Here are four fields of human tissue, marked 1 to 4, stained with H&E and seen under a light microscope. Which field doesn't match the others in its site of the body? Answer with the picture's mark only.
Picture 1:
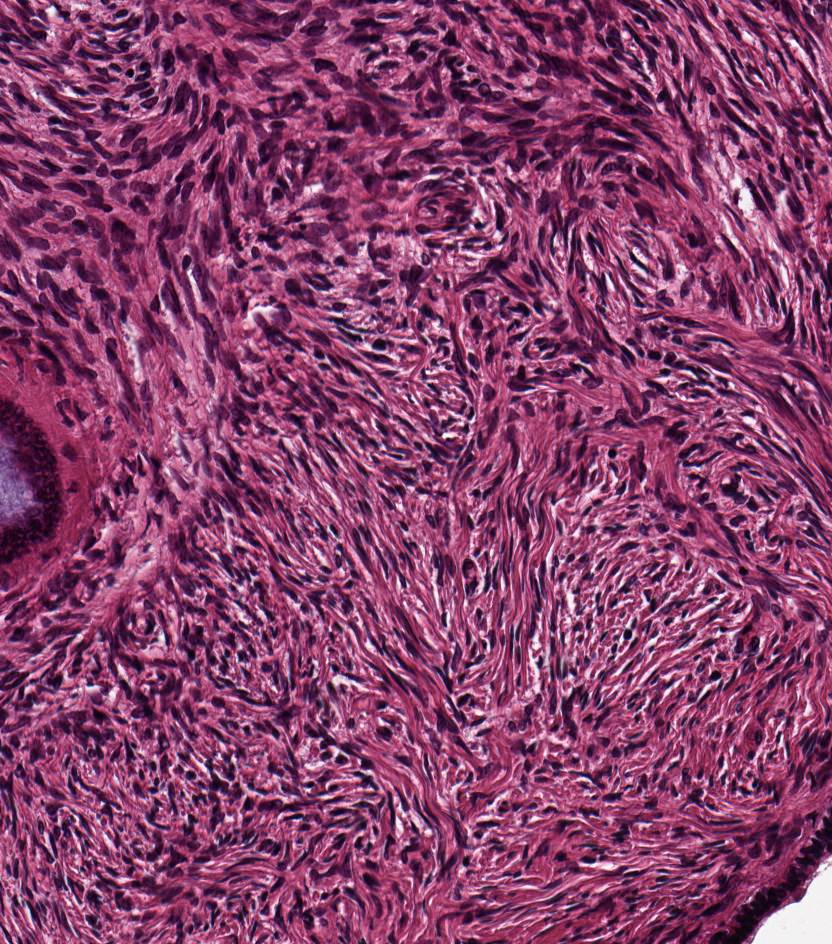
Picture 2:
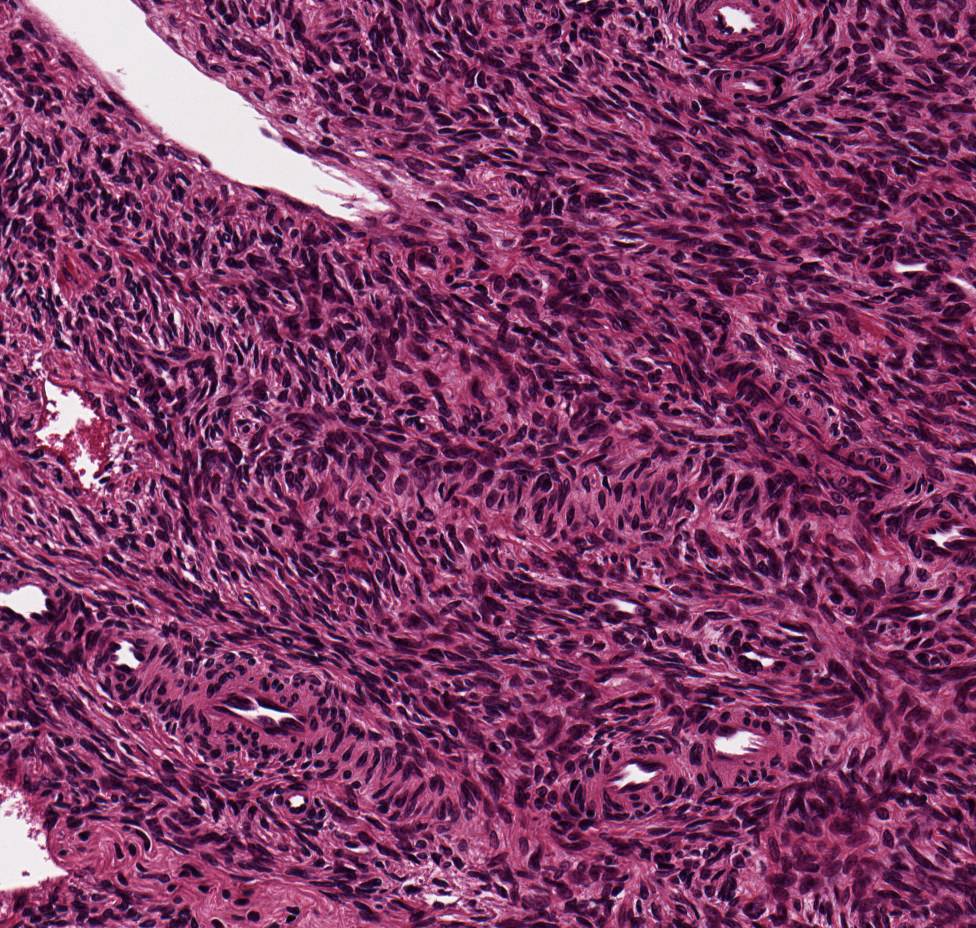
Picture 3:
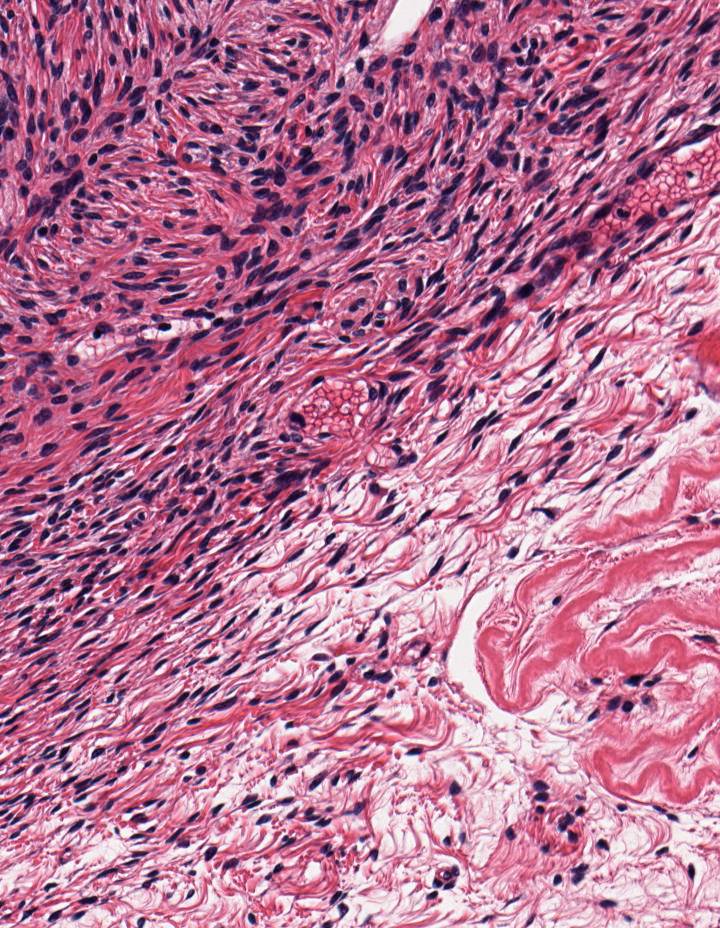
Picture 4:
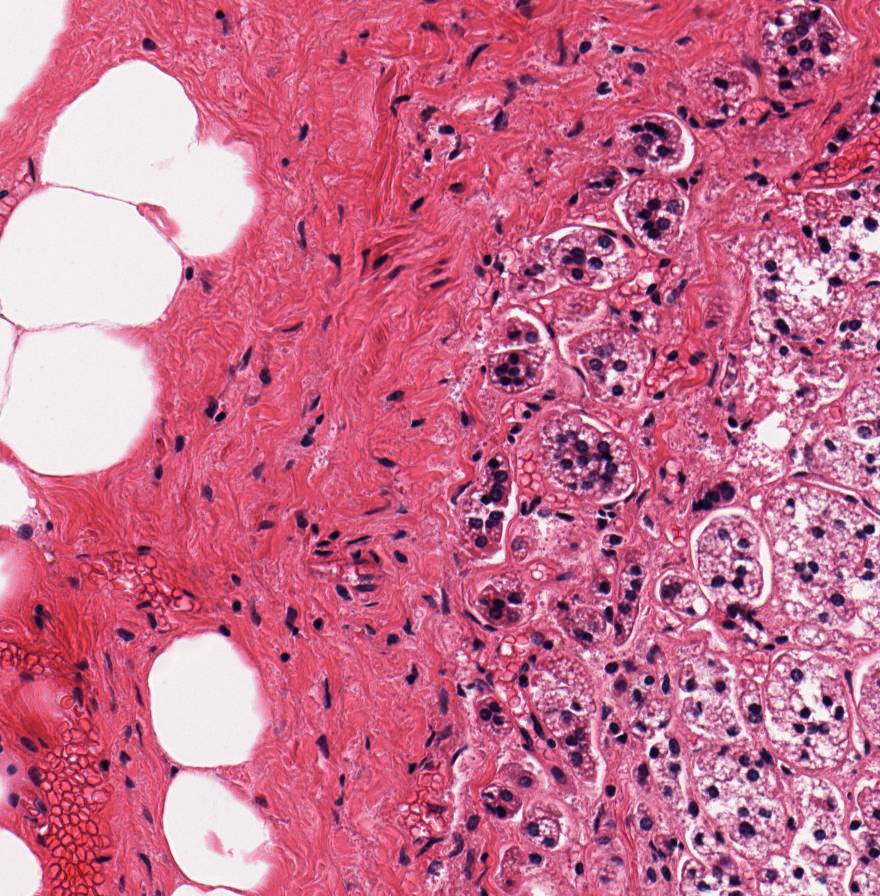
4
